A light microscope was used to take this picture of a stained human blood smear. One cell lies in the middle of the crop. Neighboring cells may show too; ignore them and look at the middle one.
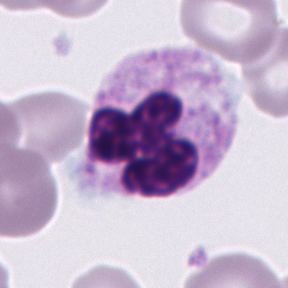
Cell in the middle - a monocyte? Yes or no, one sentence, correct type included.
No, the correct answer for the middle cell is a neutrophil, not a monocyte.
